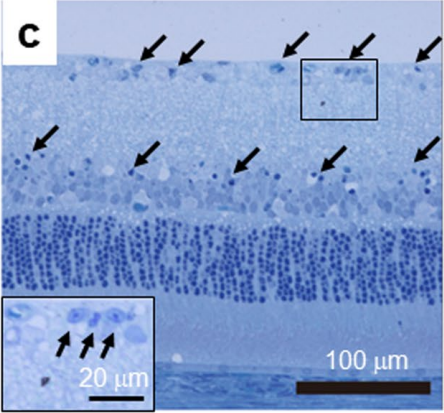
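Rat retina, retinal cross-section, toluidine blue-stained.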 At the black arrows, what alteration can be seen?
Pyknotic cells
